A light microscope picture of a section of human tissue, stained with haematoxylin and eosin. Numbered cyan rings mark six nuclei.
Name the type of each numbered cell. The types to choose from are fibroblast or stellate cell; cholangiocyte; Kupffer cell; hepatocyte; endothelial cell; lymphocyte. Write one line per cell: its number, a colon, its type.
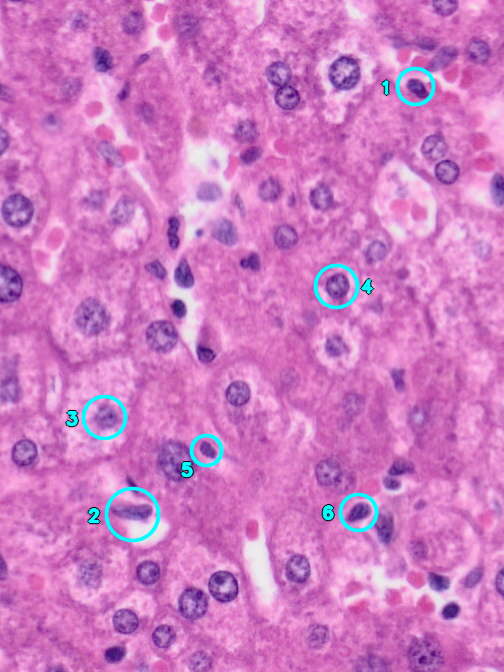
1: lymphocyte
2: Kupffer cell
3: hepatocyte
4: hepatocyte
5: lymphocyte
6: lymphocyte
